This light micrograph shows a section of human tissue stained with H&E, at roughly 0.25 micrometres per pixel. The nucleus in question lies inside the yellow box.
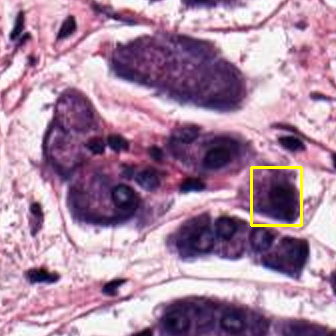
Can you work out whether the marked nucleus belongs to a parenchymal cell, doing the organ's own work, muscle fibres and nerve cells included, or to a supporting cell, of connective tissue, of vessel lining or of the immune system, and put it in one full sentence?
The marked nucleus is contained in a parenchymal cell, namely a pancreatic acinar cell.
